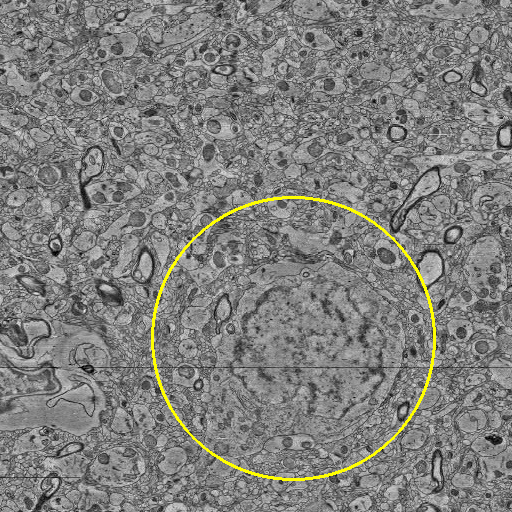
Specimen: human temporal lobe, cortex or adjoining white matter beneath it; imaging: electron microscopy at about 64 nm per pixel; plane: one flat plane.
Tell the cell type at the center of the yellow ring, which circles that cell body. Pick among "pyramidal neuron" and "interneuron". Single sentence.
The ring is centered on the body of an interneuron.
